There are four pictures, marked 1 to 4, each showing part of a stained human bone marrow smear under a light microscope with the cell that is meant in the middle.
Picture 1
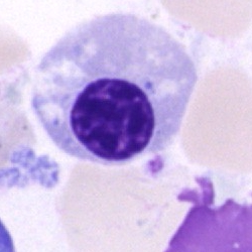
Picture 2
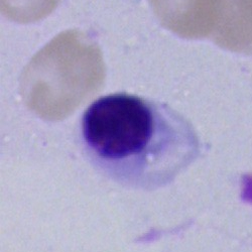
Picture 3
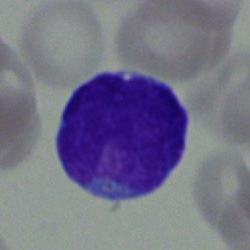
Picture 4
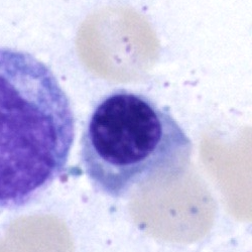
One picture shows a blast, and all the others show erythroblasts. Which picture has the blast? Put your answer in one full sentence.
The picture with the blast is 3.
